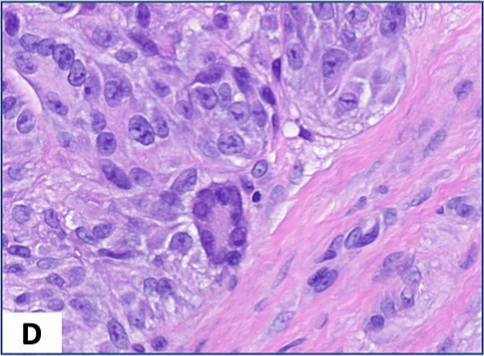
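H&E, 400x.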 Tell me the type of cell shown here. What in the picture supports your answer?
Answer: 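Multinucleated giant cells. A large cell near the center holds several clustered dark nuclei. It is larger than the surrounding single-nucleated cells.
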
